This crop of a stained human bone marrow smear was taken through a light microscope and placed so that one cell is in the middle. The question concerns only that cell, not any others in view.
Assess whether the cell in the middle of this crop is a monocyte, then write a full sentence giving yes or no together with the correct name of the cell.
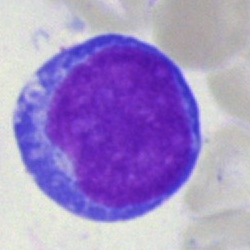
No, in this crop the central cell is a blast instead of a monocyte.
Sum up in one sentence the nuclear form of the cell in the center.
Worth pointing out that its nucleus is one compact mass, round, oval or reniform.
